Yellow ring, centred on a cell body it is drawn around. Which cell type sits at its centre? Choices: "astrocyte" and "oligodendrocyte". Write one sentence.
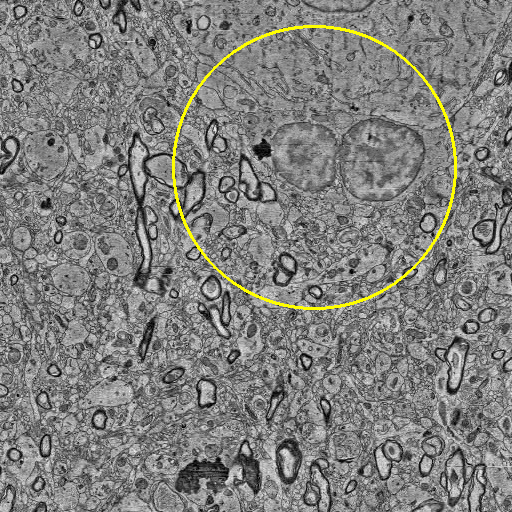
At the centre of the ring sits an oligodendrocyte.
